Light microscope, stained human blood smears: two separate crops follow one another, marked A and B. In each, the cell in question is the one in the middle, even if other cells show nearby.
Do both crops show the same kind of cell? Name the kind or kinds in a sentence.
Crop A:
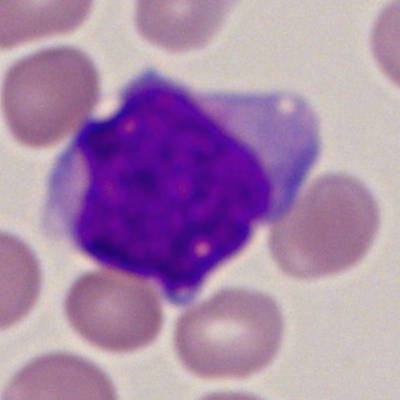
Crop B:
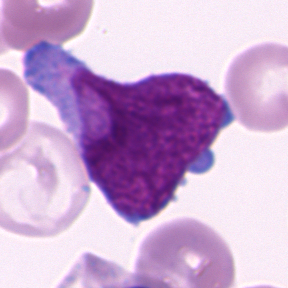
Yes, both crops show blasts in their central position.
